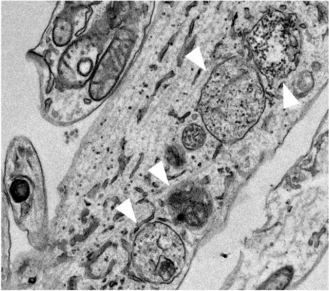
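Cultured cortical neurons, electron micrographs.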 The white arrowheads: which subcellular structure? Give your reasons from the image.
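Several round membrane-bound compartments lie inside the processes. They are filled with granular and membranous material unlike the clear cytoplasm around them. So: autophagic vacuoles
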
